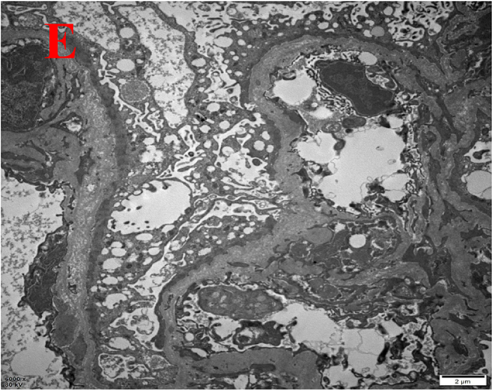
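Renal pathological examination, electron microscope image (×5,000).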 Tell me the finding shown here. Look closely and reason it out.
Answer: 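The dense band beneath the capillary walls is thick in some stretches and thinner in others.
Answer: The basement membrane varied in thickness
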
